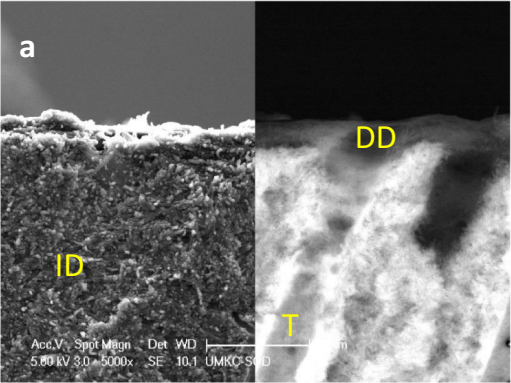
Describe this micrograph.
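These are paired scanning electron images of a fractured dentin surface seen in cross-section, with the outer surface at the top. In the left-hand image the dentin appears as a dense, finely granular mass with a slightly ragged surface edge. In the right-hand image the mineralized dentin appears bright, while a thin darker band runs along the top surface above it. Elongated channels, the dentinal tubules, run obliquely through the dentin and appear as darker or bright-rimmed streaks. A large dark patch extends down from the surface layer into the dentin on the right side.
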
